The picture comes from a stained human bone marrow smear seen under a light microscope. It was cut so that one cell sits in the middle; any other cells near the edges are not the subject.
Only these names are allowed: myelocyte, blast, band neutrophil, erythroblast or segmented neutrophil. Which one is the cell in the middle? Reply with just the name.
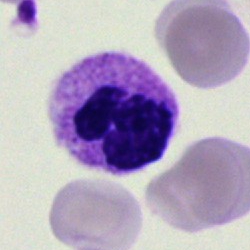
segmented neutrophil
